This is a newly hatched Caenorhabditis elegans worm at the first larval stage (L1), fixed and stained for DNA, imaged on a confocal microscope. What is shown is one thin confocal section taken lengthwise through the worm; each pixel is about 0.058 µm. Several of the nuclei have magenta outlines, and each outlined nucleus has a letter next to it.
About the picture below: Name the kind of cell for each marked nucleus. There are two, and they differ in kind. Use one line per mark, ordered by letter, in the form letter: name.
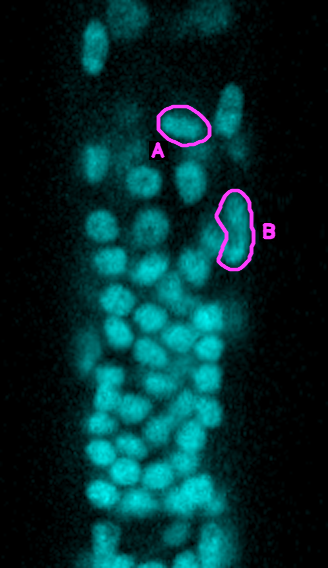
A: valve cell of the gut
B: body wall muscle cell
